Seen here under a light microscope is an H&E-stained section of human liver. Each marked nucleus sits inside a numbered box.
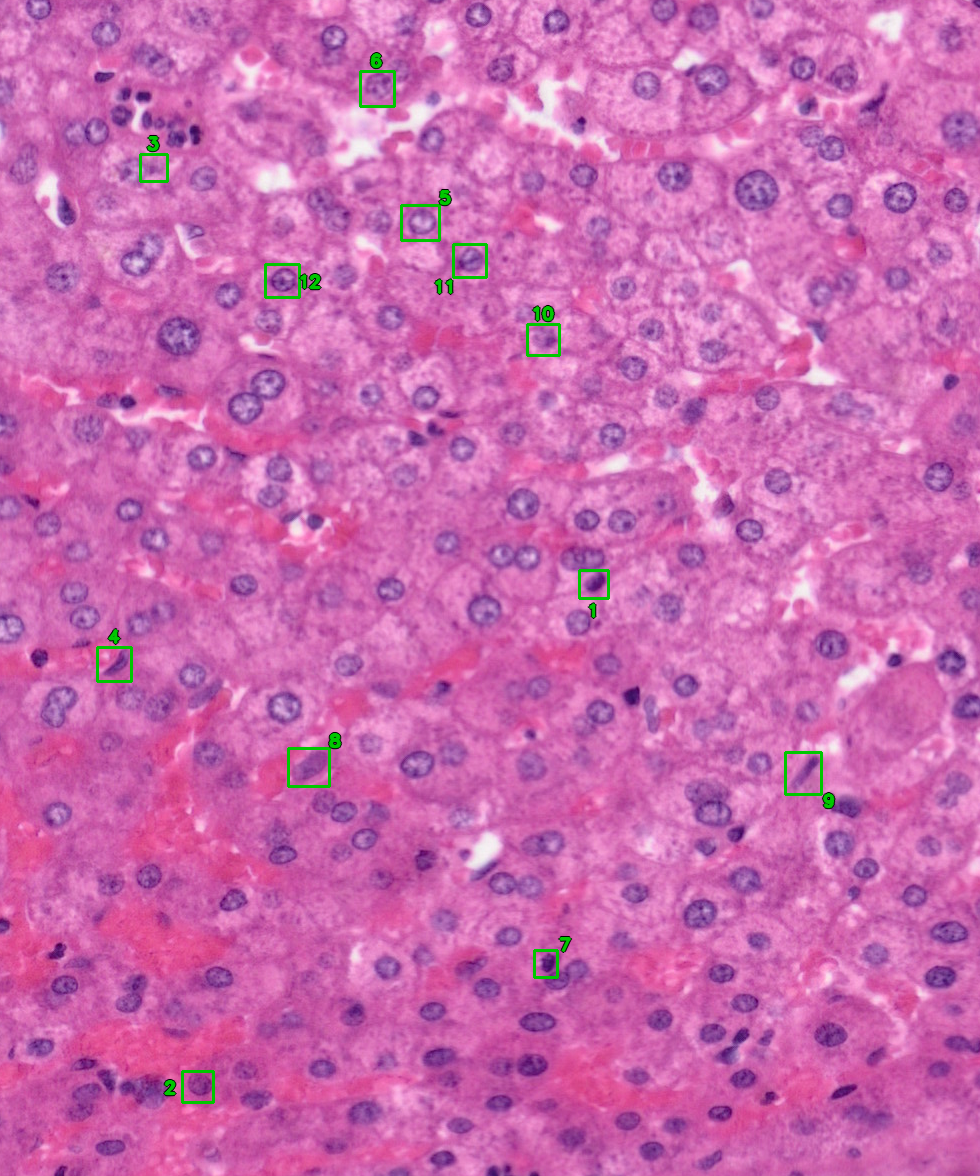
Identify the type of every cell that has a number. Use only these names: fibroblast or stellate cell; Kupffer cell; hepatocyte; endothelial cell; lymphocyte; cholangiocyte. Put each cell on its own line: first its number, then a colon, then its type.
1: fibroblast or stellate cell
2: hepatocyte
3: hepatocyte
4: endothelial cell
5: hepatocyte
6: hepatocyte
7: fibroblast or stellate cell
8: Kupffer cell
9: Kupffer cell
10: hepatocyte
11: hepatocyte
12: hepatocyte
